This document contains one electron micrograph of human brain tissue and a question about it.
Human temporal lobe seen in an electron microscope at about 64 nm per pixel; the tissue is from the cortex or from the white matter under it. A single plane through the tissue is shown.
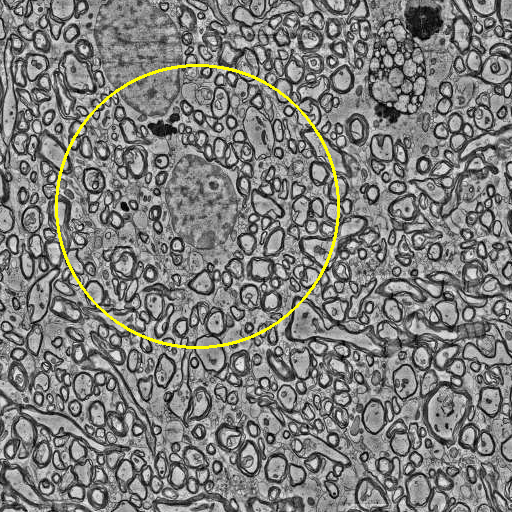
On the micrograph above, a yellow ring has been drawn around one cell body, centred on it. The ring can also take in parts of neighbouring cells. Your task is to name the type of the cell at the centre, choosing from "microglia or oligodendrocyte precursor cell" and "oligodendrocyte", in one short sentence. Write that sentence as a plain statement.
Here the ring is centred on an oligodendrocyte.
